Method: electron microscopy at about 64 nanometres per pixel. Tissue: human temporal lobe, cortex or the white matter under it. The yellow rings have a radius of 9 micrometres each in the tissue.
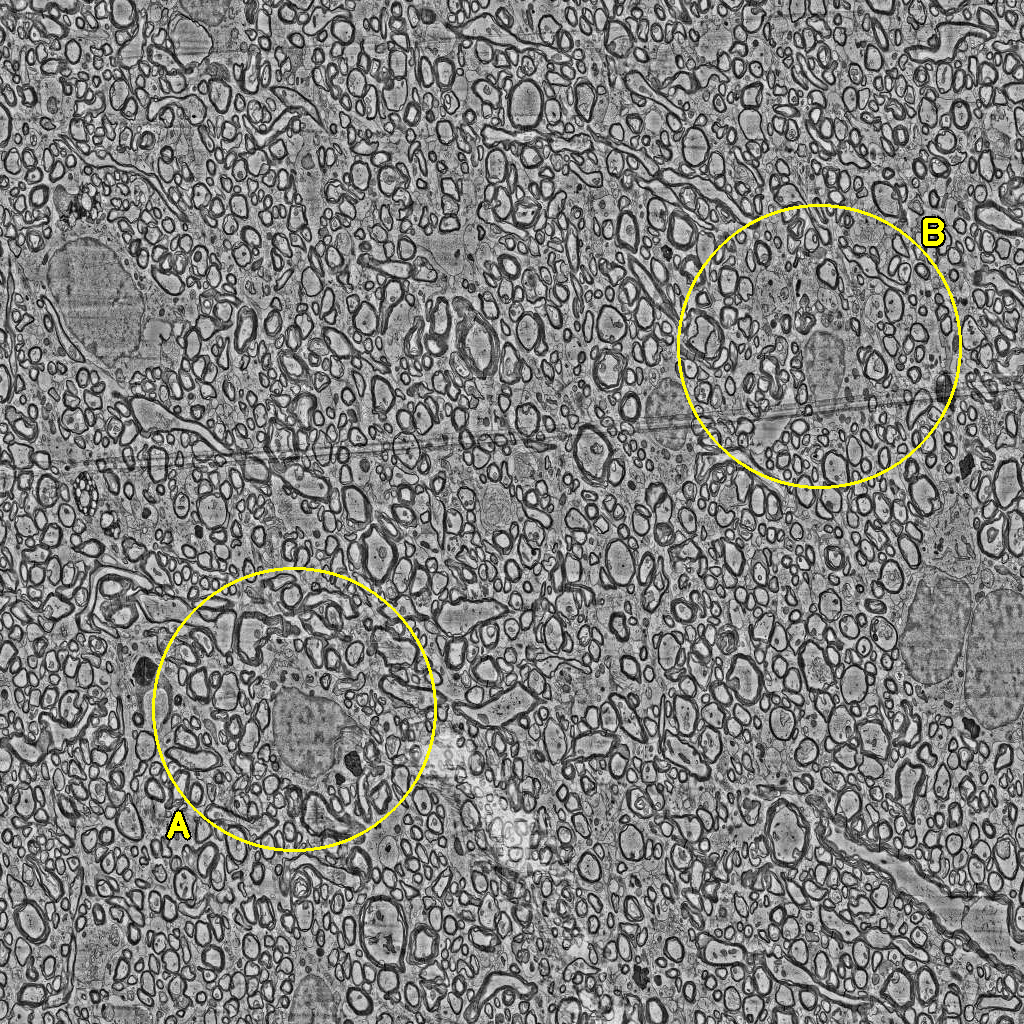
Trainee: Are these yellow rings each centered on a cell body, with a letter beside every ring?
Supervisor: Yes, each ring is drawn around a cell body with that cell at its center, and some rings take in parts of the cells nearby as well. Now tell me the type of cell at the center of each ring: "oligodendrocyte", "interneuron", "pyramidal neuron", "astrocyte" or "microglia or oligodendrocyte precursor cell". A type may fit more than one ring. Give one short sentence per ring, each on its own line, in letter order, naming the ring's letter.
Ring A has an oligodendrocyte at its center.
Ring B has an oligodendrocyte at its center.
